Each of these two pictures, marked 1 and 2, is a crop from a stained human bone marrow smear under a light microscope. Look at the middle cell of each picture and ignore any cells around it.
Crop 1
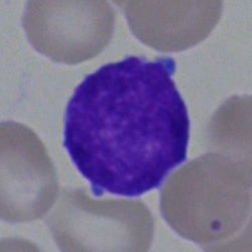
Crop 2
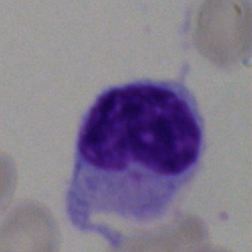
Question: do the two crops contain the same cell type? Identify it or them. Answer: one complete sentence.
No, a hairy cell is the cell in crop 2, and crop 1 contains a blast.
